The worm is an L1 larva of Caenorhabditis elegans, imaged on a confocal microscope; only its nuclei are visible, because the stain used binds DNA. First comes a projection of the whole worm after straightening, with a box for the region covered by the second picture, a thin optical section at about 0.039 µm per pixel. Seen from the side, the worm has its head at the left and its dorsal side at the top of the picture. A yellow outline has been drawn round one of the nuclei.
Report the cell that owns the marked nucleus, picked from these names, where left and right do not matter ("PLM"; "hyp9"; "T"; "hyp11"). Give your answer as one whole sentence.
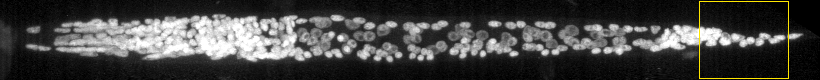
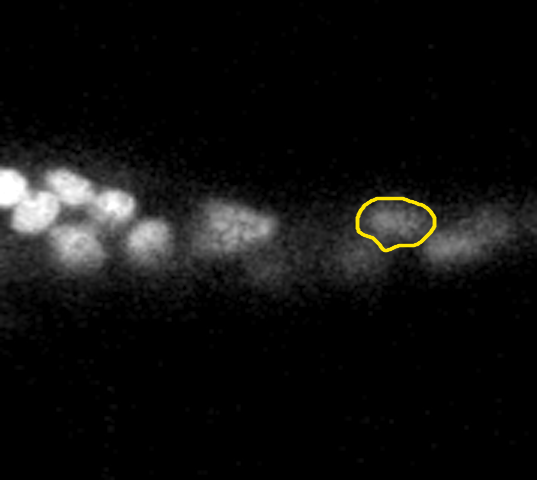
The marked nucleus belongs to hyp11, a hypodermal cell (hyp).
